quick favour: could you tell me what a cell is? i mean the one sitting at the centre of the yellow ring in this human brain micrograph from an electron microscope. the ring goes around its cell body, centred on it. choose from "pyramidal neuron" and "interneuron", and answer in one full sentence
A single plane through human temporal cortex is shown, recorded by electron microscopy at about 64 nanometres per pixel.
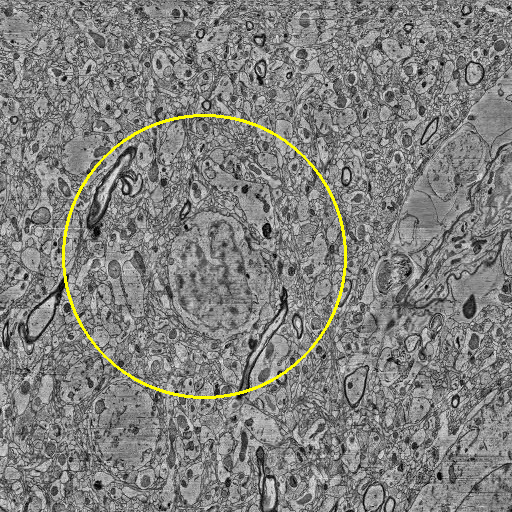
That's an interneuron, the cell sitting at the centre of the yellow ring.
